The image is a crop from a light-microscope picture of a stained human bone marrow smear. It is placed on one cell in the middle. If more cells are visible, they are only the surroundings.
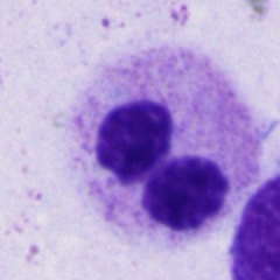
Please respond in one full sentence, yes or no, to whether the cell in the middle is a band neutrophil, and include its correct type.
No, it is a segmented neutrophil rather than a band neutrophil that the middle of the crop contains.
